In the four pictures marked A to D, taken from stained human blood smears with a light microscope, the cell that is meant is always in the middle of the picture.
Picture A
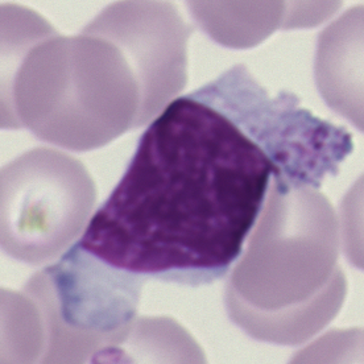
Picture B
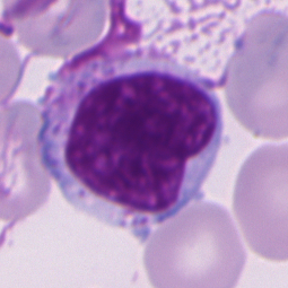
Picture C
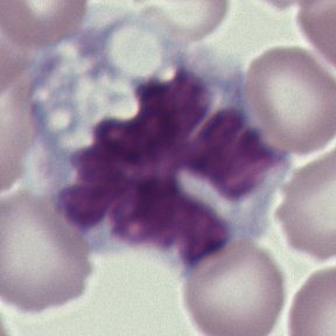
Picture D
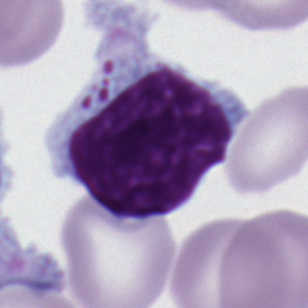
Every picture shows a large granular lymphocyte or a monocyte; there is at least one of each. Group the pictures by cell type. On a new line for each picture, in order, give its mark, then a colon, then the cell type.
A: large granular lymphocyte
B: large granular lymphocyte
C: monocyte
D: large granular lymphocyte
